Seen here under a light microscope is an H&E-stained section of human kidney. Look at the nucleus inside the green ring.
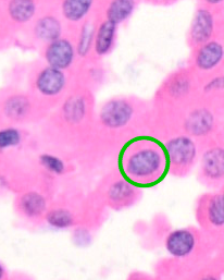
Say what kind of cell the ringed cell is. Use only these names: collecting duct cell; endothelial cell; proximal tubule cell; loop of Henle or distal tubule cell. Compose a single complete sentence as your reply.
Within the stained tissue, the ringed cell is a loop of Henle or distal tubule cell.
